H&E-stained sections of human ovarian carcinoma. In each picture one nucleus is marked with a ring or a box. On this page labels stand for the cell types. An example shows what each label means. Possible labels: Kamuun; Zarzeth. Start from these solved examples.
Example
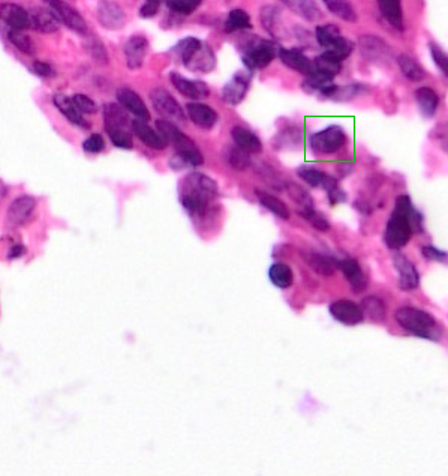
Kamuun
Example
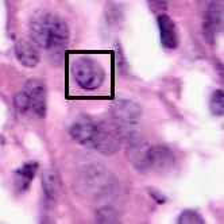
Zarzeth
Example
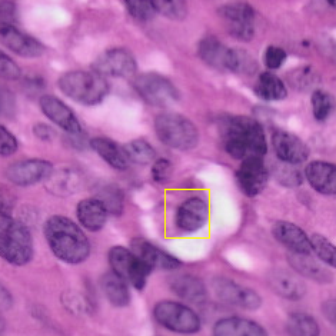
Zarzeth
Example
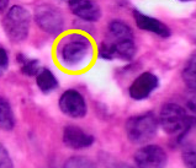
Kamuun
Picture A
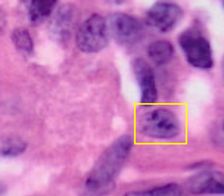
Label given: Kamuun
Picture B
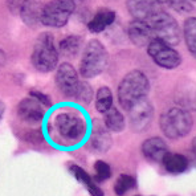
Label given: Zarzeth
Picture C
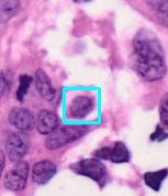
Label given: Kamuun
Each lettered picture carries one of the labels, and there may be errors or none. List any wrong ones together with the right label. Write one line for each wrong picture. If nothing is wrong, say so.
A is labelled Kamuun; correct label: Zarzeth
